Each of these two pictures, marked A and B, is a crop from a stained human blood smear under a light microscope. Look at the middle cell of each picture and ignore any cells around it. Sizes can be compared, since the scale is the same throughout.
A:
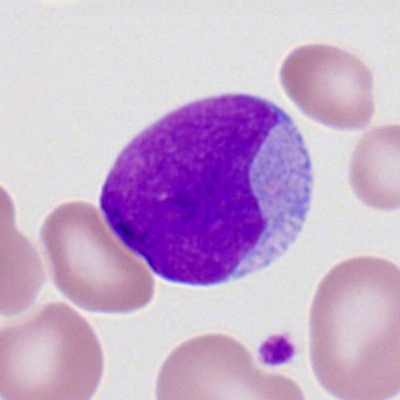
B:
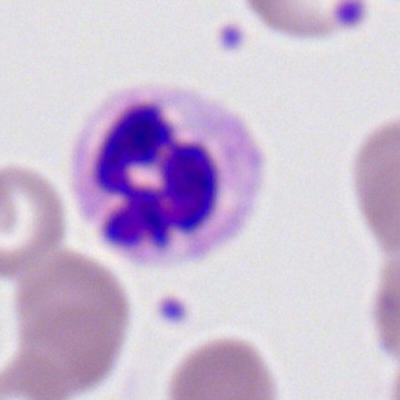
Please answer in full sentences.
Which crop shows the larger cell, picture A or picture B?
Larger is the cell in picture A, at roughly 1.5 times the area of the other.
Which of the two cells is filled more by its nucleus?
In picture A the nucleus takes up the larger part of its cell.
